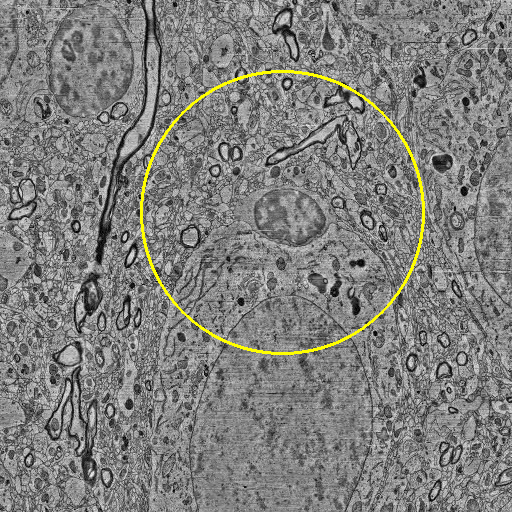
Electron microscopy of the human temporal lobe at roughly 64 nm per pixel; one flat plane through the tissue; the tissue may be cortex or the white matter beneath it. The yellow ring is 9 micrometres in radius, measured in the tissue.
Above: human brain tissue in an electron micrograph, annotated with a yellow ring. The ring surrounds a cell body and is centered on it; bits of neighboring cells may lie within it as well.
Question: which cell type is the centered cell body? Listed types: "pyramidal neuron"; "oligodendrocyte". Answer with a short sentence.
The centered cell body is an oligodendrocyte.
